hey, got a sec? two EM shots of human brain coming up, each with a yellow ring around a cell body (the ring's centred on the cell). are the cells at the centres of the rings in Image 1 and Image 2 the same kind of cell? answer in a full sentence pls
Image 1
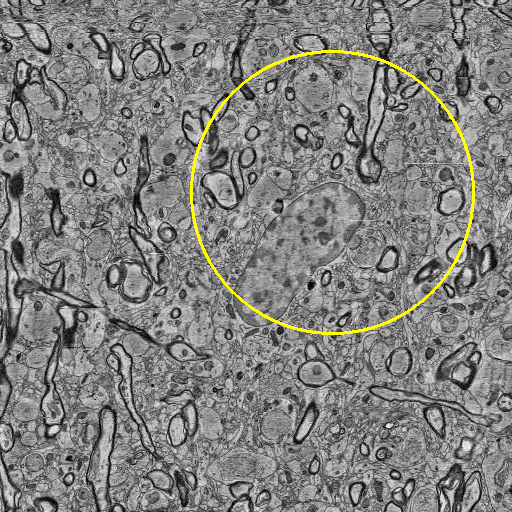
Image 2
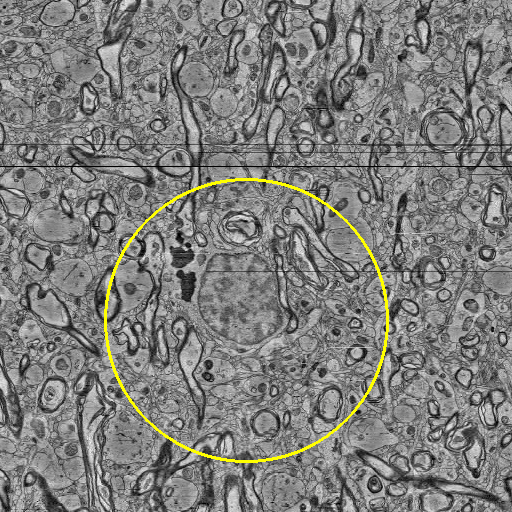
No, they are two kinds of cell.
